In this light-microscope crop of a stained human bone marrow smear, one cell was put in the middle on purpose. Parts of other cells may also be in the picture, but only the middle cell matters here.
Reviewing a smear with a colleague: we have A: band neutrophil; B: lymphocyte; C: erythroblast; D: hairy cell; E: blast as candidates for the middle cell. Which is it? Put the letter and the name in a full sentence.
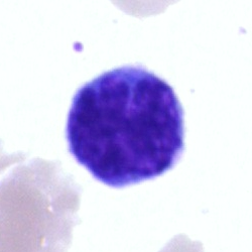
Option B is the correct one; it names the central cell as a lymphocyte.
